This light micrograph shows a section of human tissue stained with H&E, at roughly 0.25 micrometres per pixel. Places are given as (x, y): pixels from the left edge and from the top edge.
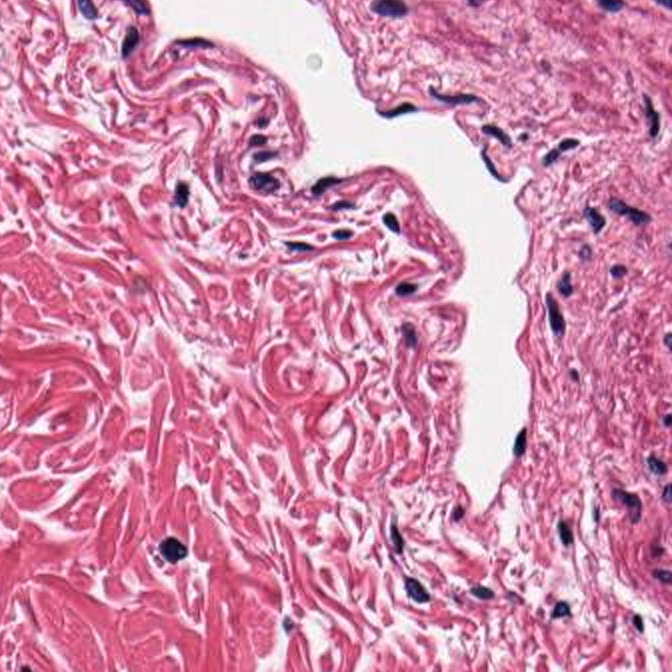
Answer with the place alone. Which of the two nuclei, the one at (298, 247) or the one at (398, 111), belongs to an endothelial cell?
(398, 111)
